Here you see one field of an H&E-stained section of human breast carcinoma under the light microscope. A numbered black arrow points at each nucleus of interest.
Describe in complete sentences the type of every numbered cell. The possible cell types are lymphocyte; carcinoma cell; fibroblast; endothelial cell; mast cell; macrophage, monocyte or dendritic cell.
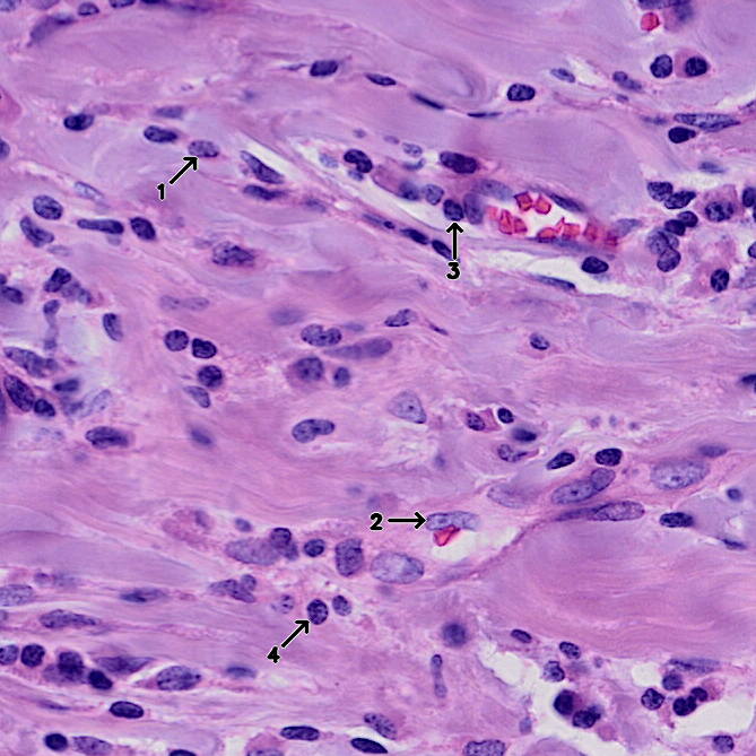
Cell 1 is a mast cell. Cell 2 is an endothelial cell. Cells 3 and 4 are lymphocytes.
